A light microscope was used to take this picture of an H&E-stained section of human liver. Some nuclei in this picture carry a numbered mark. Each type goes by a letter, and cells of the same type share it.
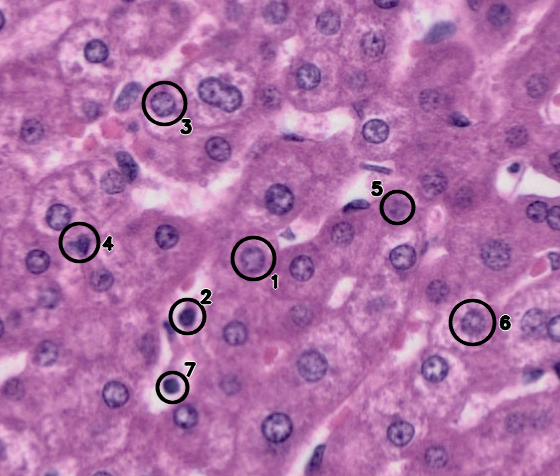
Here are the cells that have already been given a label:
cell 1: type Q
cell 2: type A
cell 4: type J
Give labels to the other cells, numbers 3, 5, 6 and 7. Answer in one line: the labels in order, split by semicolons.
type Q; type Q; type Q; type A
